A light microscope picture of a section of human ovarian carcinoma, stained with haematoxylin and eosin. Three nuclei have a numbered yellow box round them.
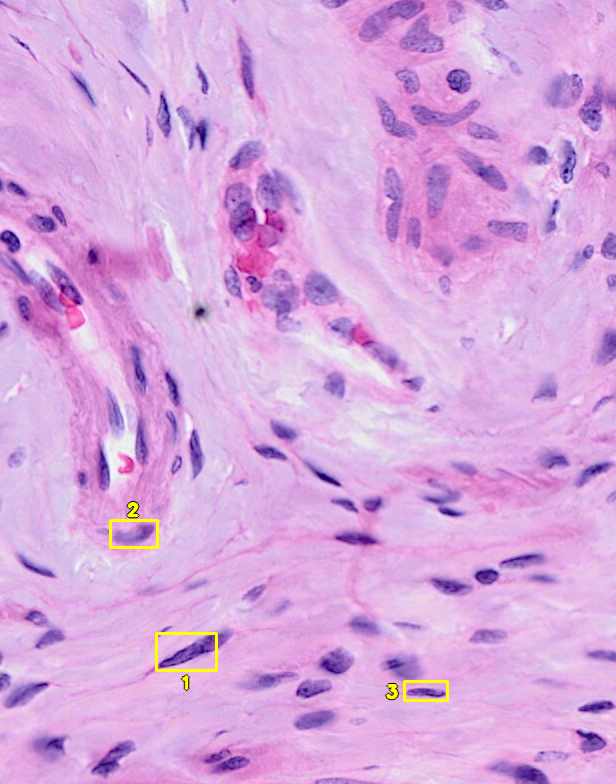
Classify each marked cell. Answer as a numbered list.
1. fibroblast
2. smooth muscle cell
3. fibroblast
